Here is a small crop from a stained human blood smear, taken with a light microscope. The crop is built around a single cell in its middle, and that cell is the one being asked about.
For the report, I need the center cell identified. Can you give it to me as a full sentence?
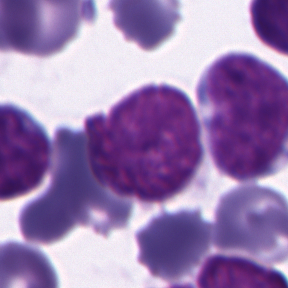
The cell in the middle of this crop is a myeloblast.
